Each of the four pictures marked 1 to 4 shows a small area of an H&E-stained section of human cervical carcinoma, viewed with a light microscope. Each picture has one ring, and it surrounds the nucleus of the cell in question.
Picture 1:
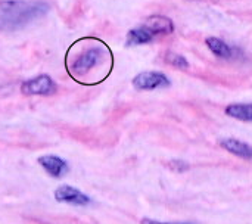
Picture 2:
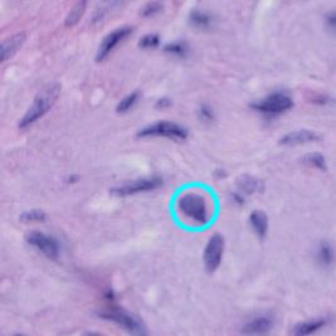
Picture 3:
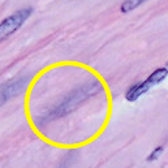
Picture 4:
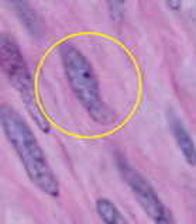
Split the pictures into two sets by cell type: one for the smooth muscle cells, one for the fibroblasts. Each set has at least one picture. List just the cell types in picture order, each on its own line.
smooth muscle cell
fibroblast
smooth muscle cell
smooth muscle cell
